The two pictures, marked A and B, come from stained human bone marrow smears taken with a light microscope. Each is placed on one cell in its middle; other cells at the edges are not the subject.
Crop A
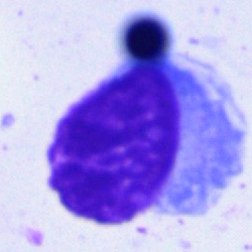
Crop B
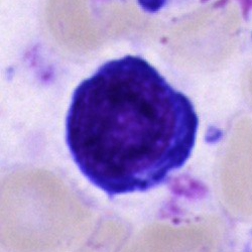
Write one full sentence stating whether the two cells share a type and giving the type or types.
No, crop A is home to a plasma cell, and crop B to a proerythroblast.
